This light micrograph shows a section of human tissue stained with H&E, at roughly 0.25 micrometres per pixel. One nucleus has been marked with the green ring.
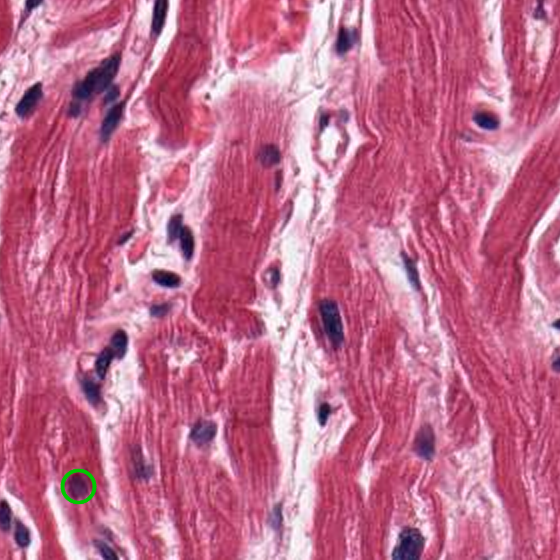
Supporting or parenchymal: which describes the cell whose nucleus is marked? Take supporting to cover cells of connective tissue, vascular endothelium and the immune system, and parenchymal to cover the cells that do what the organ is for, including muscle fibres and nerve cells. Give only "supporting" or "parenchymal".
parenchymal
